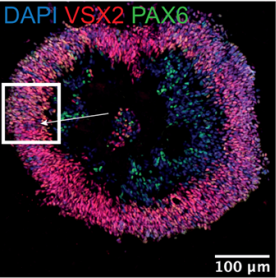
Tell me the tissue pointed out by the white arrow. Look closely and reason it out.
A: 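The arrow points into a thick, densely nucleated band forming the outer rim of a round structure. The band is made of tightly packed elongated nuclei oriented radially. So: neuroepithelial layer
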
